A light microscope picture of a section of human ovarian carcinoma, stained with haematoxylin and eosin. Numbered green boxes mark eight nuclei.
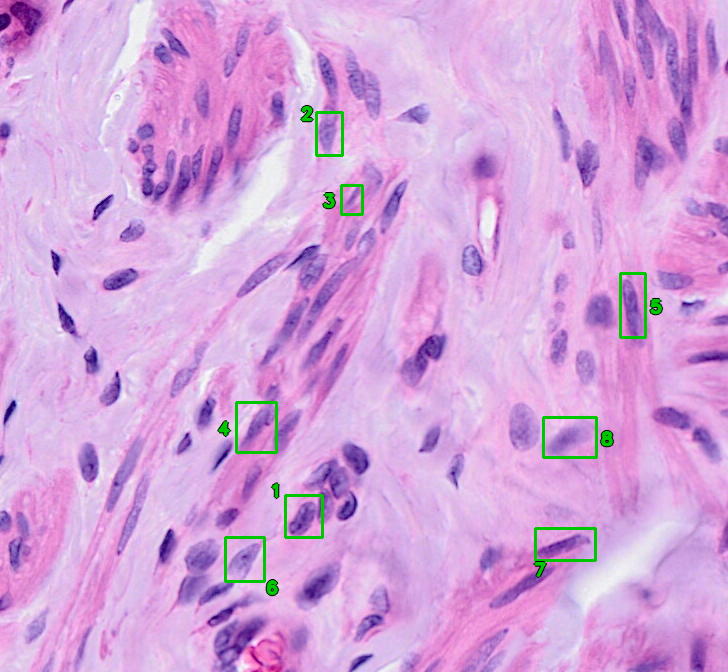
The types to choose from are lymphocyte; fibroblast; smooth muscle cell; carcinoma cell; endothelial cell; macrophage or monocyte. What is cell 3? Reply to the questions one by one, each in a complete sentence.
It is as a smooth muscle cell that the cell numbered 3 is identified.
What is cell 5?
The cell that goes by number 5 is a smooth muscle cell.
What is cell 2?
In this section, the cell tagged 2 is a smooth muscle cell.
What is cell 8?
Here, the cell given the number 8 is a fibroblast.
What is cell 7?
The cell that carries the label 7 is a smooth muscle cell.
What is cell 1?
The nucleus marked 1 is the nucleus of an endothelial cell.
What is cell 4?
The numeral 4 marks a smooth muscle cell in this section.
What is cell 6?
Here the cell numbered 6 is a fibroblast.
